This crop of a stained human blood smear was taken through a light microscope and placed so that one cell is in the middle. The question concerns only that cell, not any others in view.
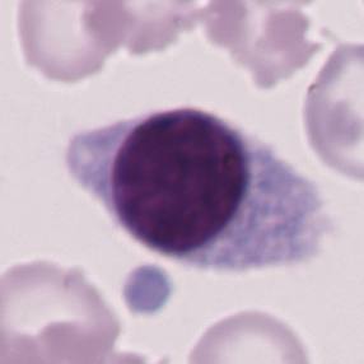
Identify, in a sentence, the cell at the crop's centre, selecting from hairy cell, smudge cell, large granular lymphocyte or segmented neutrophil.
The target cell in the middle of the crop is a hairy cell.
